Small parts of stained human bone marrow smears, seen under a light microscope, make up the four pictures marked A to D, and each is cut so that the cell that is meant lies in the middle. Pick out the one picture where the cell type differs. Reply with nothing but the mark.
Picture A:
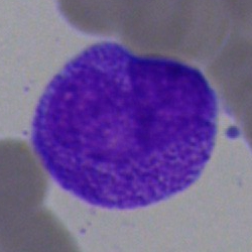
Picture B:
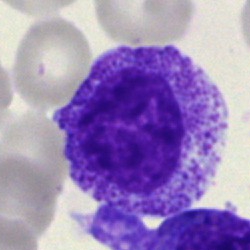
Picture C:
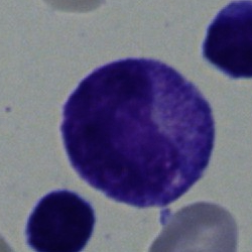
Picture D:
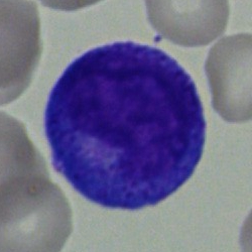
B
